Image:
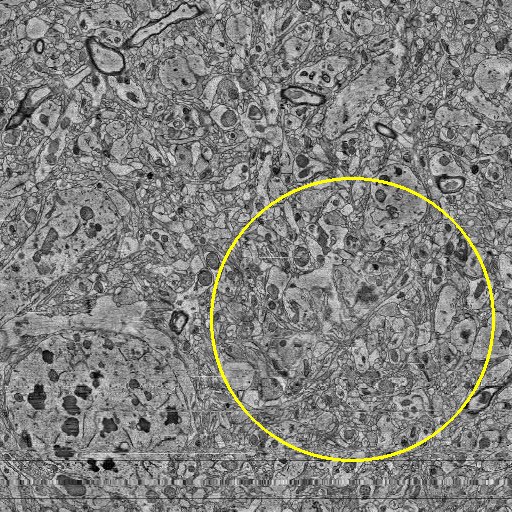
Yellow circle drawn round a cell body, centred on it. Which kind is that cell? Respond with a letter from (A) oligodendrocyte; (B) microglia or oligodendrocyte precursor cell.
B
